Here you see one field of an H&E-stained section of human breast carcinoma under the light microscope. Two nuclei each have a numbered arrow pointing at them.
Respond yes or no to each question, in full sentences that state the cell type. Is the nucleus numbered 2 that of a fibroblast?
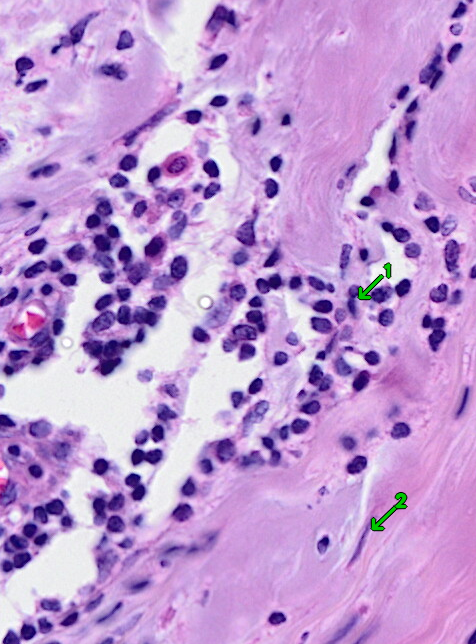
Yes, the cell with the mark numbered 2 is a fibroblast.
